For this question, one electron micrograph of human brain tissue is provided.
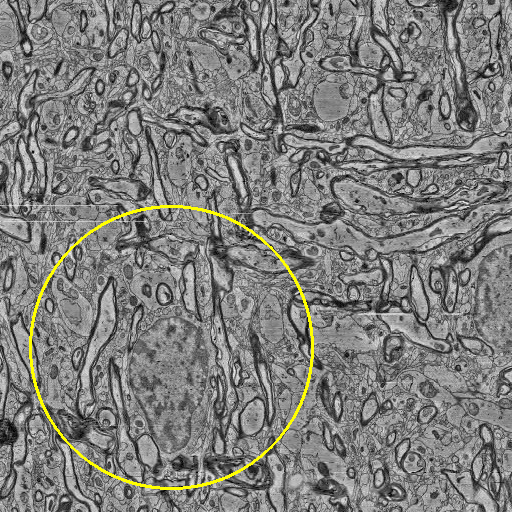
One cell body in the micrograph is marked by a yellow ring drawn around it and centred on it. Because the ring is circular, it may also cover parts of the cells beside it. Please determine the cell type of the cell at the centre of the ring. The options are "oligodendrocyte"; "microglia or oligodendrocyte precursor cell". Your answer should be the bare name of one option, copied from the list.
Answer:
oligodendrocyte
